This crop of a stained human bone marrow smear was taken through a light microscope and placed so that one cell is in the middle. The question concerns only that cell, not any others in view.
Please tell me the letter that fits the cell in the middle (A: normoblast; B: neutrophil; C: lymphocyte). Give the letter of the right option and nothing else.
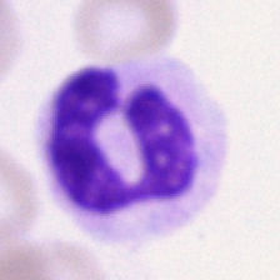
B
